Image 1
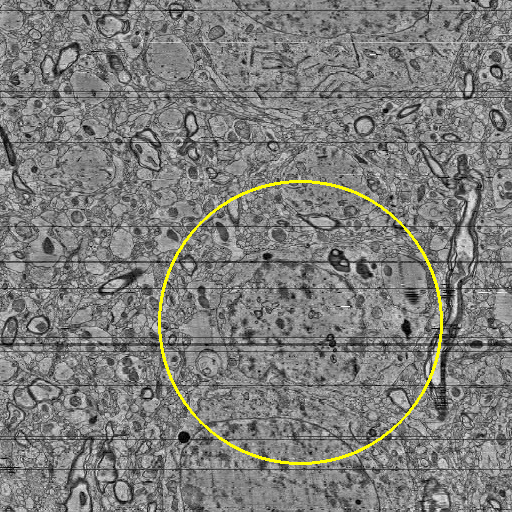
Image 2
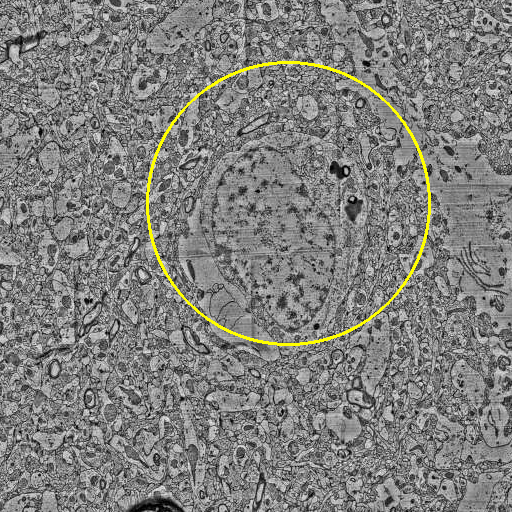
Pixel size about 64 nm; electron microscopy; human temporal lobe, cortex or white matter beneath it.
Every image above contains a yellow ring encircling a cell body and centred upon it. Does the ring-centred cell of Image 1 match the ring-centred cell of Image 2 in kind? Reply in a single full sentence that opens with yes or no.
Yes, the cell at the ring's centre in Image 1 is the same kind as that in Image 2.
